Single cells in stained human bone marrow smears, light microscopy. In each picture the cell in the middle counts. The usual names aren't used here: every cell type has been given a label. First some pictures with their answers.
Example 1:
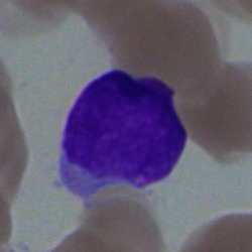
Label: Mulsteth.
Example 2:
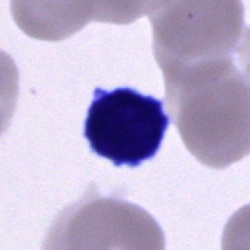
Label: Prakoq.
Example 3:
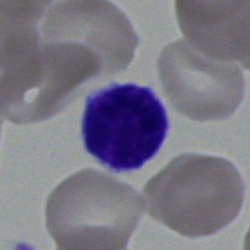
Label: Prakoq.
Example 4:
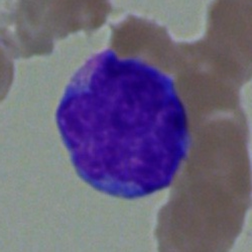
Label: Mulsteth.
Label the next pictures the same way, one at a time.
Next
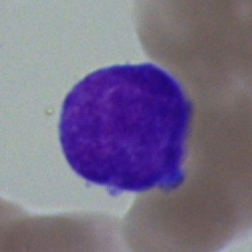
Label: Mulsteth.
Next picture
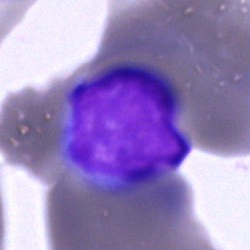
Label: Prakoq.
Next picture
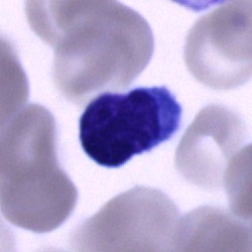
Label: Prakoq.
